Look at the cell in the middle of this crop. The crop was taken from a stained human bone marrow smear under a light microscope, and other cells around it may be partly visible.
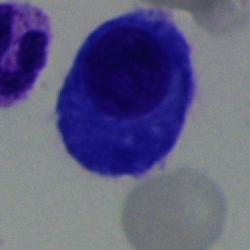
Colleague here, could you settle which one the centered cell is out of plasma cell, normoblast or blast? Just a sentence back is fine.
The centrally placed cell is classified as a plasma cell.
